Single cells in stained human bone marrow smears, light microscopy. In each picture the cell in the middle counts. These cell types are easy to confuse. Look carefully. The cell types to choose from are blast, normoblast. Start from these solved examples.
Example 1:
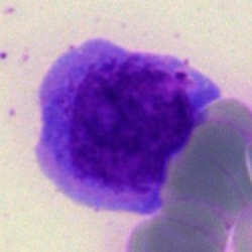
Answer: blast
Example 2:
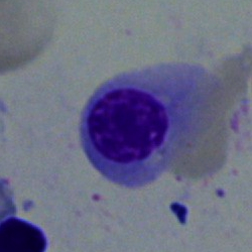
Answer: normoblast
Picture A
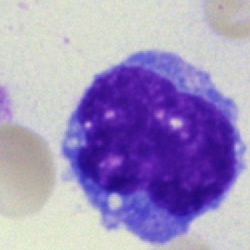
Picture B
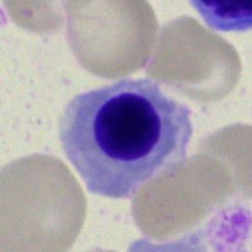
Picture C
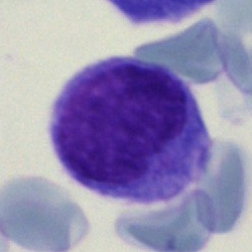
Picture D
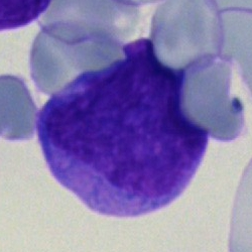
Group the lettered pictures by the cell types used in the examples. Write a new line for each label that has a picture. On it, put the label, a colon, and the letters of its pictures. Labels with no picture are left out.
blast: A, C, D
normoblast: B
